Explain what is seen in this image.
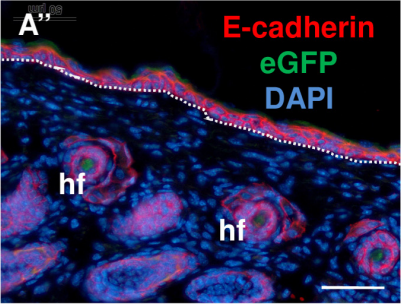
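This is uninjured skin with a thin epidermis at the top and dermis containing cross-sectioned hair follicles below. The epidermis is a narrow band of red-outlined cells lying on a dotted line that follows the basement membrane. The hair follicles appear as round profiles whose concentric epithelial layers are outlined in red, some with a small green spot in their centre. Between the follicles the dermis holds many scattered blue elongated nuclei. The surface of the epidermis shows faint green together with the red.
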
